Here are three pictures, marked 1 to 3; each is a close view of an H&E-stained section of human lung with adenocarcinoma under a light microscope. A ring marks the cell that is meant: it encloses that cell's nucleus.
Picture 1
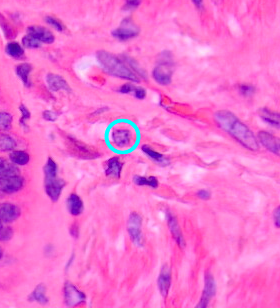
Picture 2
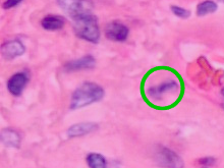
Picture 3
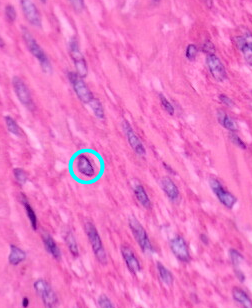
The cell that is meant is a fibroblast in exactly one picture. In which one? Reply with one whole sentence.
Picture 2 is the one that shows the fibroblast.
